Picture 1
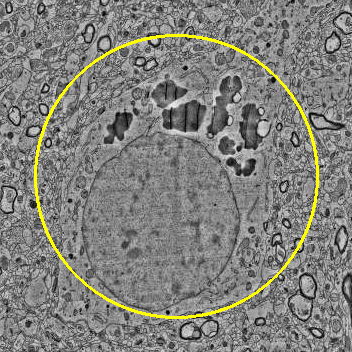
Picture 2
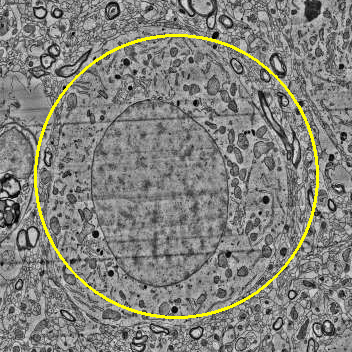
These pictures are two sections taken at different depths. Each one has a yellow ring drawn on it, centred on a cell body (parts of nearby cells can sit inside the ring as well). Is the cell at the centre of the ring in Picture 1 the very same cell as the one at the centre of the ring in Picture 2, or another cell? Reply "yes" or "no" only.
no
